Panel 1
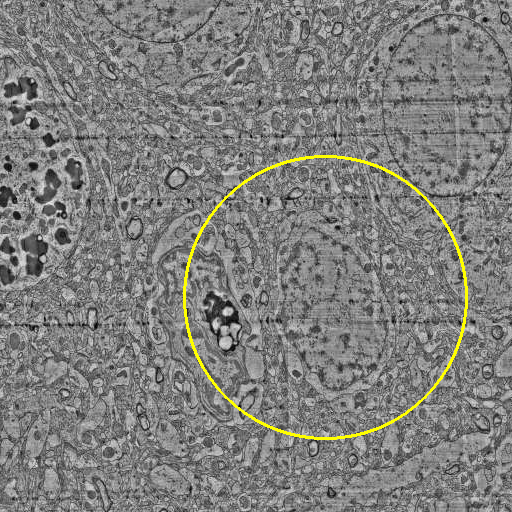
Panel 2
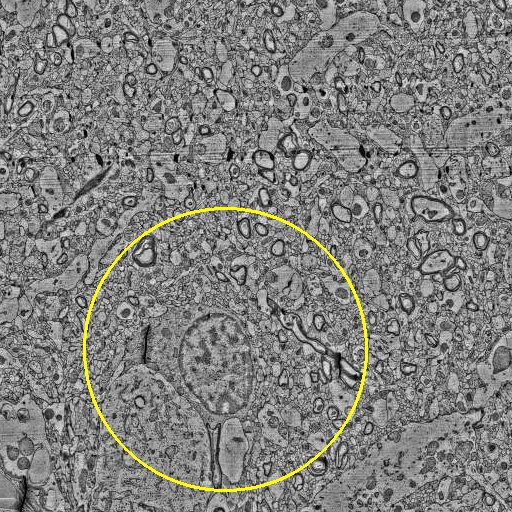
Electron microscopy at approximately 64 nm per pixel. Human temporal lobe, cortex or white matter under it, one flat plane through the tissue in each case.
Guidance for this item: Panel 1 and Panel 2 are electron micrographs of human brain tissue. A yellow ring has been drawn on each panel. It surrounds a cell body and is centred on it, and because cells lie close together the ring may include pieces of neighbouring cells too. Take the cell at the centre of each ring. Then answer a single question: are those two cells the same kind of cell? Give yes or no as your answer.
no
